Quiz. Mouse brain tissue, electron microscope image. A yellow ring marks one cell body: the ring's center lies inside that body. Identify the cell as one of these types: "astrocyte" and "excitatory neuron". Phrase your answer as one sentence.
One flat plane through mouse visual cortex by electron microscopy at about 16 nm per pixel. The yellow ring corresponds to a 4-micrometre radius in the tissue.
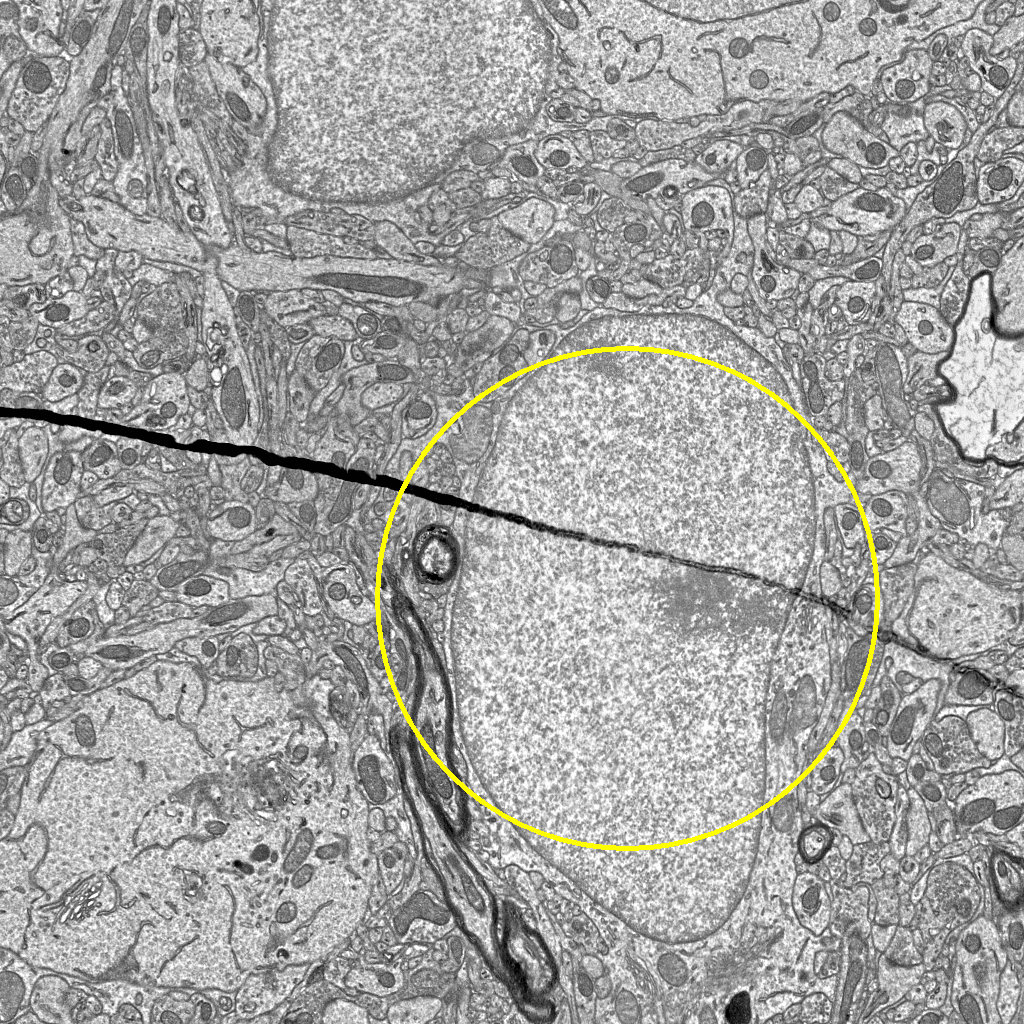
At the center of the ring sits an astrocyte.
